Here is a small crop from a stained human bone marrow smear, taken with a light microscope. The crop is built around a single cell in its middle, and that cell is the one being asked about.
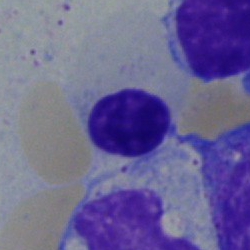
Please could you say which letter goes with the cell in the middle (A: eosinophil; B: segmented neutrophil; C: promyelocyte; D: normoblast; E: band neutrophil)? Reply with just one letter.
D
